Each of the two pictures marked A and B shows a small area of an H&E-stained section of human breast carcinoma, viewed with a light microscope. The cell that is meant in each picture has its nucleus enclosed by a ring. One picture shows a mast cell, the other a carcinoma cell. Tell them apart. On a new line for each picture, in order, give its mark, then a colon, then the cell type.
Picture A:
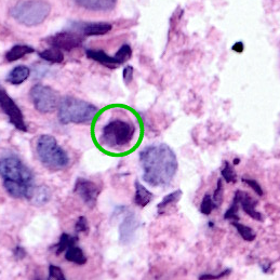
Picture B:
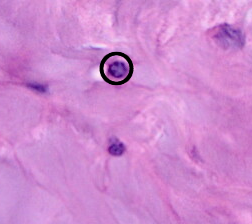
A: carcinoma cell
B: mast cell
